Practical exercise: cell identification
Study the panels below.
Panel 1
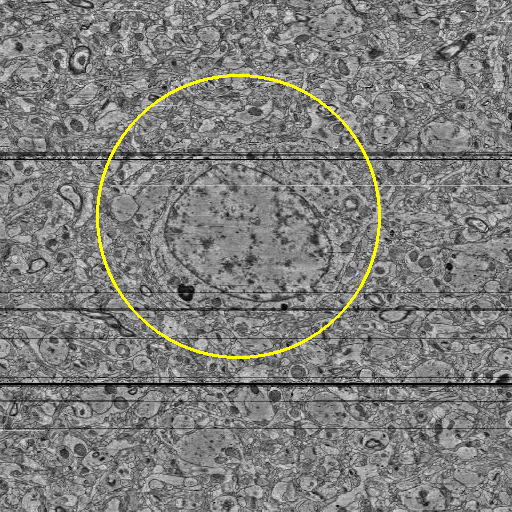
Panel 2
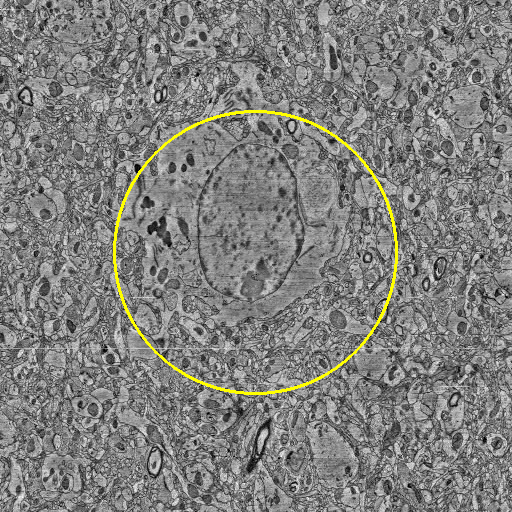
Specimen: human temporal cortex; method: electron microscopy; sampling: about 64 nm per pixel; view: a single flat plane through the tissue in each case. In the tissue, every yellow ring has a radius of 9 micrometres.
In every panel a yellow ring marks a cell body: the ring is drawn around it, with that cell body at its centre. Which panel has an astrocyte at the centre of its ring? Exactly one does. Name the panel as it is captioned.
Panel 2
